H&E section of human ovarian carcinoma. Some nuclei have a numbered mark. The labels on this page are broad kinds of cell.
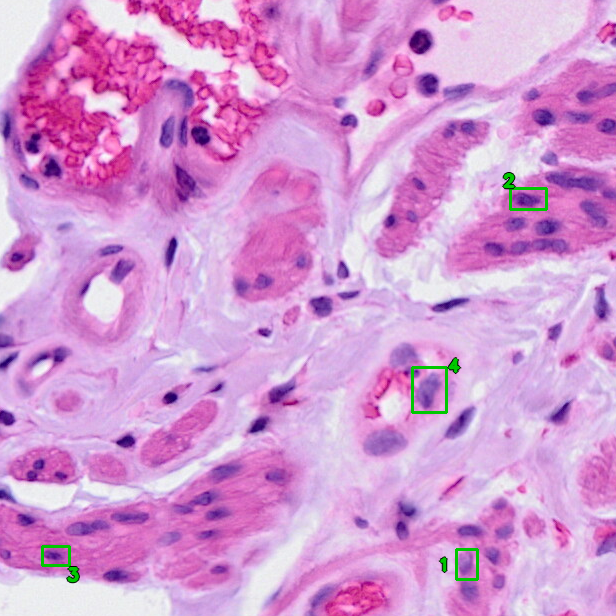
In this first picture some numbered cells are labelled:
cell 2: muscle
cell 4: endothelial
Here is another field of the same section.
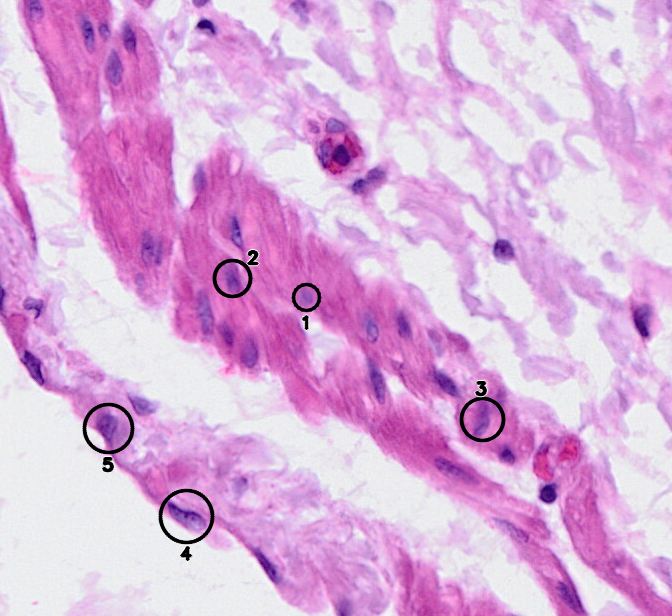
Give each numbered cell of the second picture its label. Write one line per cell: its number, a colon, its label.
1: muscle
2: muscle
3: muscle
4: endothelial
5: endothelial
